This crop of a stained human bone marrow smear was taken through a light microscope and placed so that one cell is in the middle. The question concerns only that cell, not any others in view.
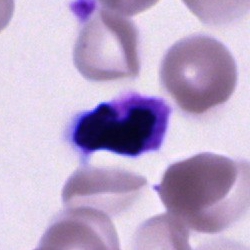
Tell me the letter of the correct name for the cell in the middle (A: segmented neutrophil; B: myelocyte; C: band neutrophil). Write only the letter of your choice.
A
